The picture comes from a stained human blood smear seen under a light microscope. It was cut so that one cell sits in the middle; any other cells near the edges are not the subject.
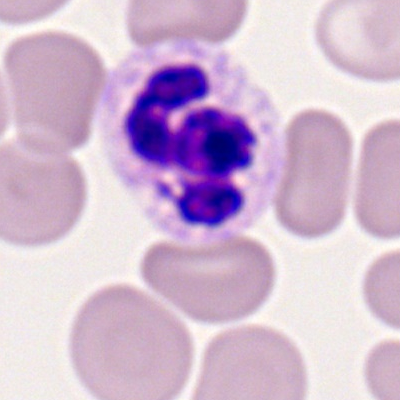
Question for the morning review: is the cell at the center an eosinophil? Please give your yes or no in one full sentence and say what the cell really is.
No, the cell in the centre of the crop is a segmented neutrophil as opposed to an eosinophil.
